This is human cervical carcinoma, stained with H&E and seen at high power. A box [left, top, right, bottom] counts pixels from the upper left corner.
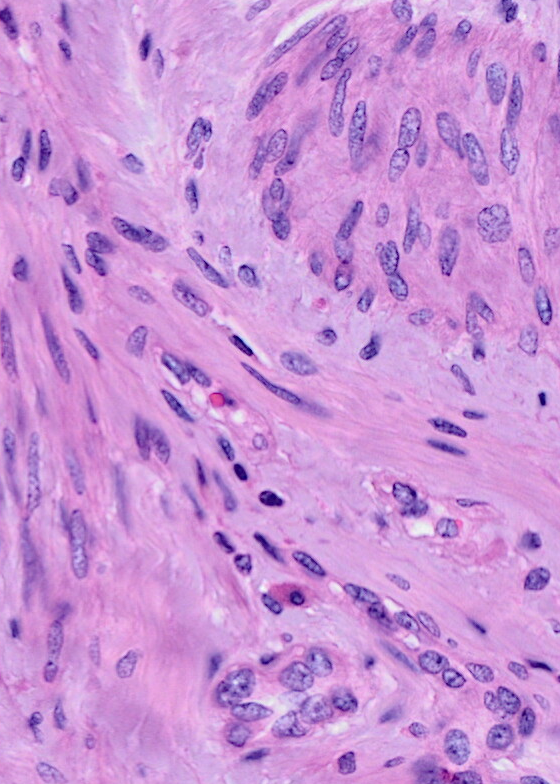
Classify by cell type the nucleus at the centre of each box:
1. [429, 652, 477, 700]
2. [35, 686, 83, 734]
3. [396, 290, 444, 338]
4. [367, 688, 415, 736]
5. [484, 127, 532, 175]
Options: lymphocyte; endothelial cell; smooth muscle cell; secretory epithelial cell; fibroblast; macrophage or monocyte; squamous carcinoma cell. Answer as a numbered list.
1. endothelial cell
2. smooth muscle cell
3. smooth muscle cell
4. fibroblast
5. smooth muscle cell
